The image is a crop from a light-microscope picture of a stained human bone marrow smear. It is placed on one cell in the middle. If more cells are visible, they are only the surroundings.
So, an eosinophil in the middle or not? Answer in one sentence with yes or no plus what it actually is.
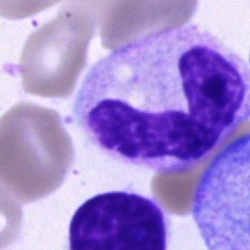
No, it isn't an eosinophil; what sits in the middle is a band neutrophil.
